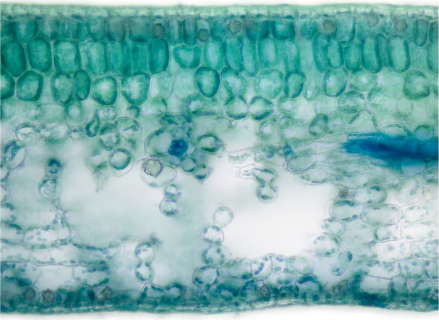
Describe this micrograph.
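This cross section of a dorsiventral leaf shows a single-layered upper epidermis over a well-developed palisade parenchyma of elongated, tightly packed columnar cells set perpendicular to the surface. Beneath it the mesophyll becomes loose, with rounded and irregular cells separated by large air spaces. A single-layered epidermis closes the lower side of the section.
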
